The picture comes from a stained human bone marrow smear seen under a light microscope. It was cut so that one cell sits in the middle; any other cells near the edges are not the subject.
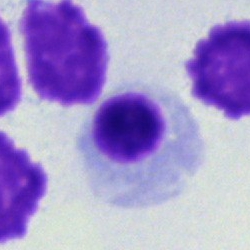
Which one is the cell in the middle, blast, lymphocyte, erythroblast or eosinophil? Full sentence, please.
Present in the middle of the crop is an erythroblast.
